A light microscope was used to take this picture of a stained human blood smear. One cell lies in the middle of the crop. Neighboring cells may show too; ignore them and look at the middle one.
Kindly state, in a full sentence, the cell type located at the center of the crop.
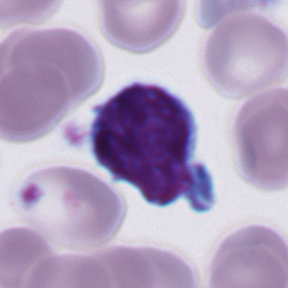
Centred in the crop is a lymphocyte.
